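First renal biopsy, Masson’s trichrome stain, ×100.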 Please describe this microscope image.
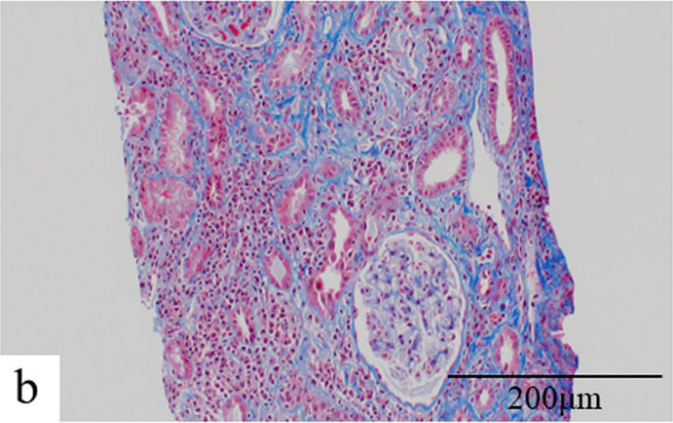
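Kidney cortex with tubules, a glomerulus and an inflamed, fibrotic interstitium. The tubules have red-pink epithelium around open lumens, and some are dilated. A glomerulus with a lobulated capillary tuft within a capsule lies in the lower part. Between the tubules, blue-staining collagen strands widen the interstitium, most clearly along the edge of the core. Many dark nuclei of inflammatory cells crowd the interstitium, especially in the central and left parts, separating the tubules from one another.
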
